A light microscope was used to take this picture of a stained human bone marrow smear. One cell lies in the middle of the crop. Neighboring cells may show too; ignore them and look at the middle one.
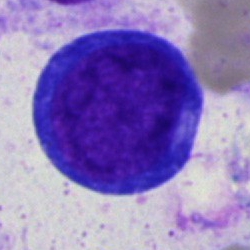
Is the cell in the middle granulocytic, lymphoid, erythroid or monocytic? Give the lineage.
erythroid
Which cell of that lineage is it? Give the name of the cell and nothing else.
proerythroblast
